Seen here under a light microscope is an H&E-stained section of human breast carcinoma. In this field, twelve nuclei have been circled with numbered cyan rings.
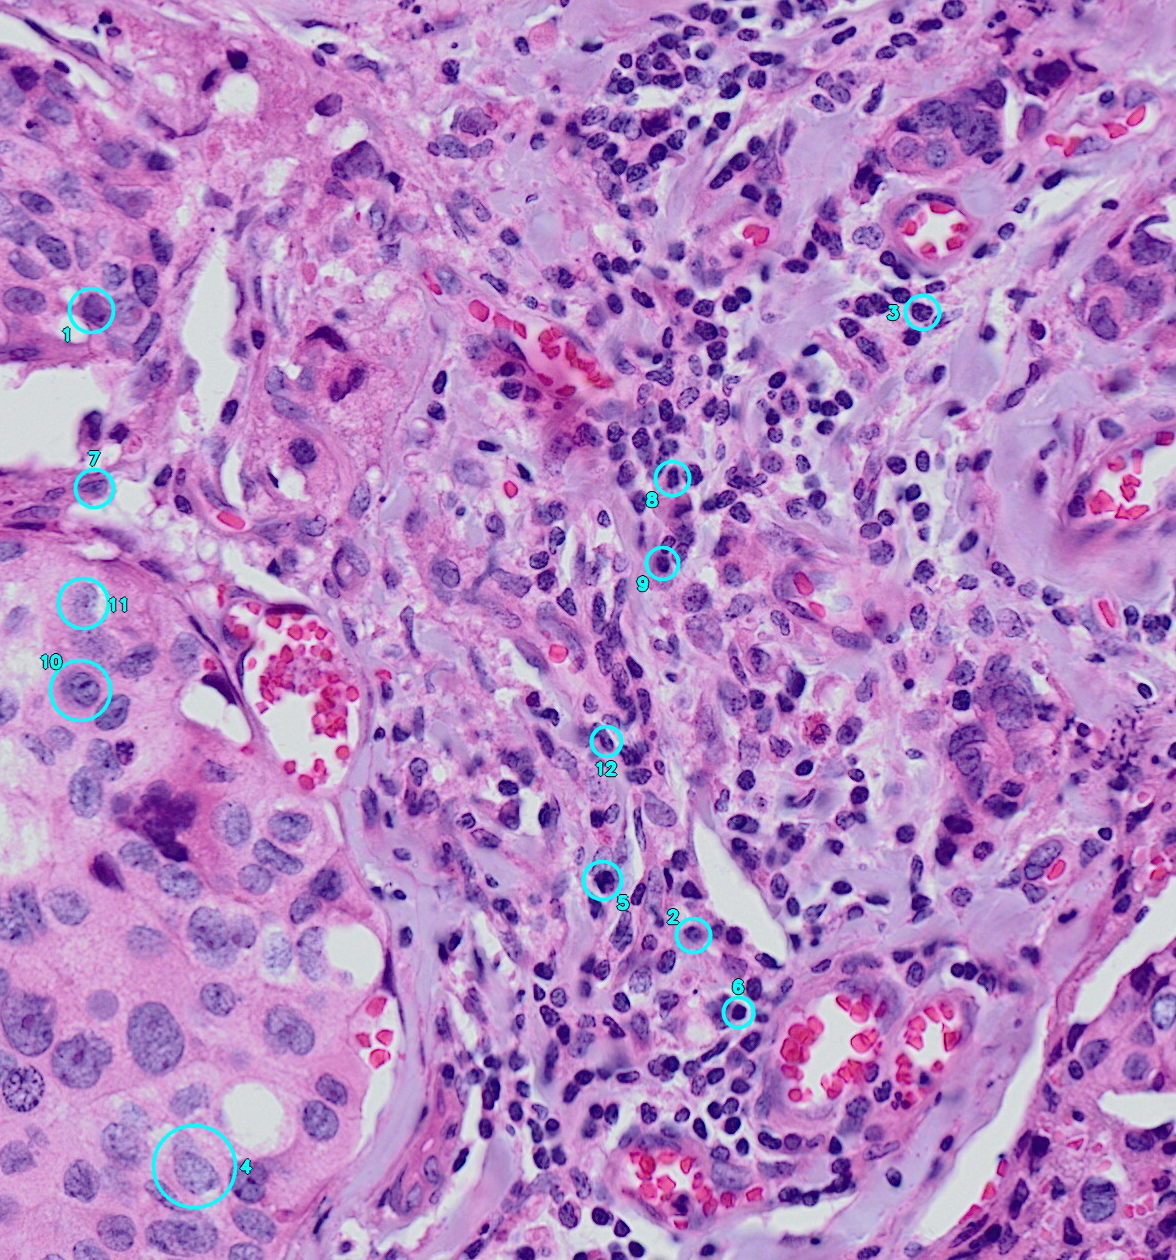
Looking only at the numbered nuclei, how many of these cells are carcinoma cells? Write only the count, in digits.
4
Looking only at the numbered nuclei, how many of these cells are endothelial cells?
1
